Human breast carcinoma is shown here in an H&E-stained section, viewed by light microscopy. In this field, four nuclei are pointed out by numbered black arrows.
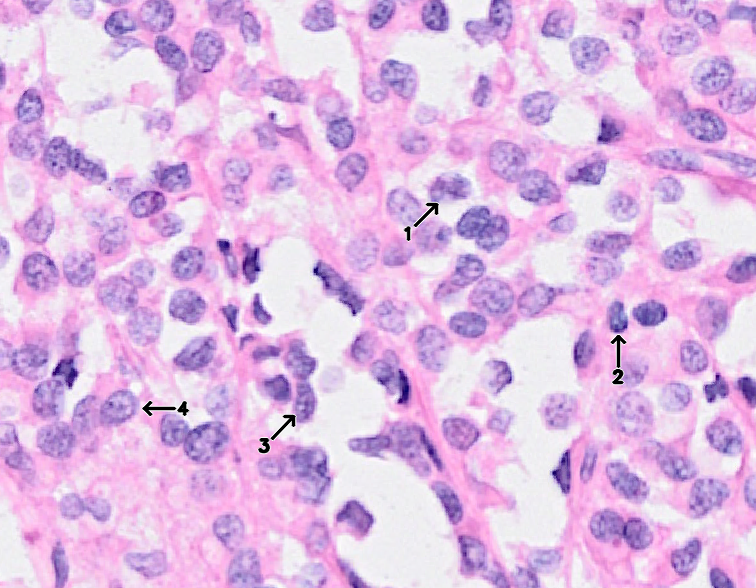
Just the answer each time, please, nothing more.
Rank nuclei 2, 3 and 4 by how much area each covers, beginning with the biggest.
4, 3, 2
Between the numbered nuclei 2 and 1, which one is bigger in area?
1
